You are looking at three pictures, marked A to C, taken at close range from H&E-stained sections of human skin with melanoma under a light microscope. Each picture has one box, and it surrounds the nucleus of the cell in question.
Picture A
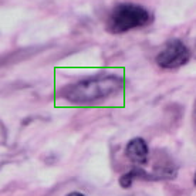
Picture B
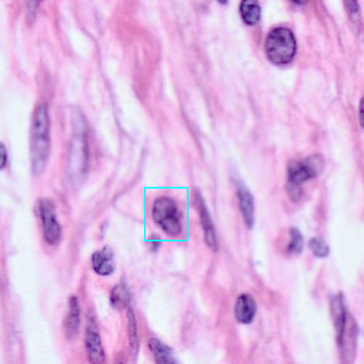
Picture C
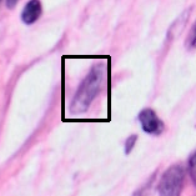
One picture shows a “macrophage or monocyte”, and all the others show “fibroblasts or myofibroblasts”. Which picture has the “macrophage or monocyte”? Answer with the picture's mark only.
B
